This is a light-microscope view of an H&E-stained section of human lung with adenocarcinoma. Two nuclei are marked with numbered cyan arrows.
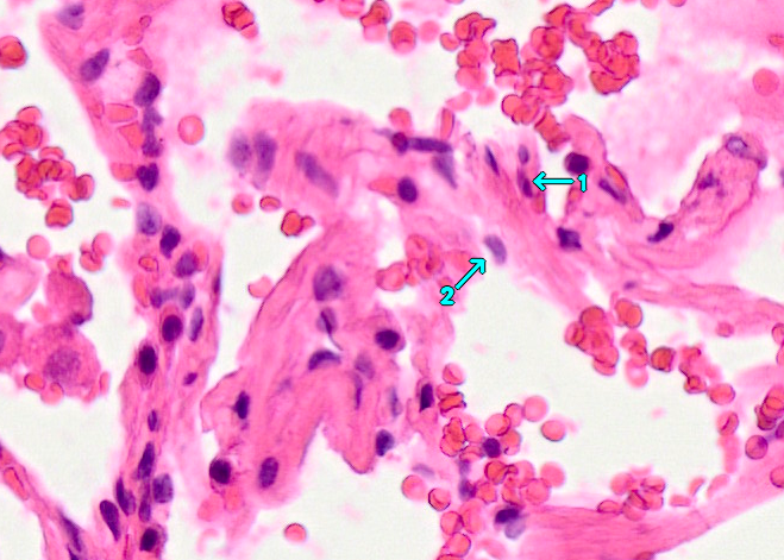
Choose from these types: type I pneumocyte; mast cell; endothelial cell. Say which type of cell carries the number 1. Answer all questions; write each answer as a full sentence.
The cell referred to as 1 is an endothelial cell.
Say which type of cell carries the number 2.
The cell assigned the number 2 is a type I pneumocyte.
